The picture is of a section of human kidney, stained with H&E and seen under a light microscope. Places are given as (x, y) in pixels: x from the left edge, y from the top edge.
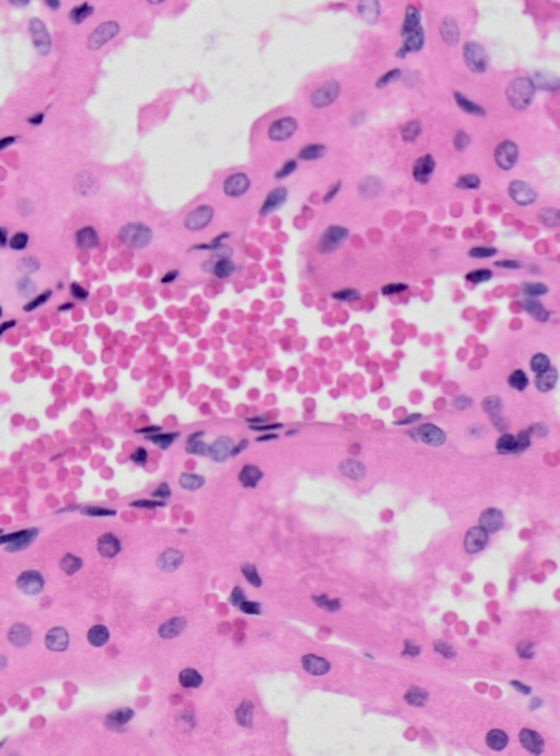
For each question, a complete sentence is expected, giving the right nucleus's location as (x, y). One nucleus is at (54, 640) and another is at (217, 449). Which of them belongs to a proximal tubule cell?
It is the nucleus at (54, 640), not the other one, that belongs to a proximal tubule cell.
